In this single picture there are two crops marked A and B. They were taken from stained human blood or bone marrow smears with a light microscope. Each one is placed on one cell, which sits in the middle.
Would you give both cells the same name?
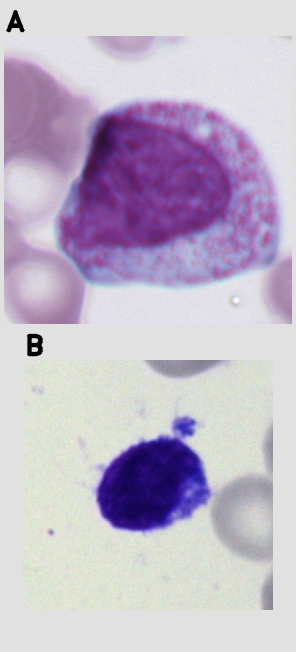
no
